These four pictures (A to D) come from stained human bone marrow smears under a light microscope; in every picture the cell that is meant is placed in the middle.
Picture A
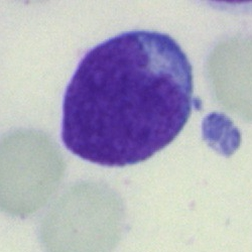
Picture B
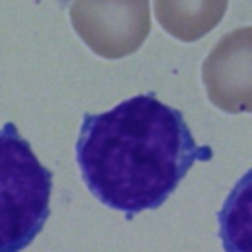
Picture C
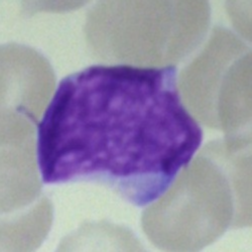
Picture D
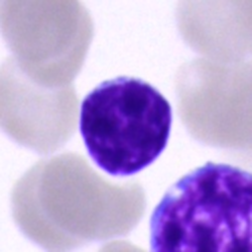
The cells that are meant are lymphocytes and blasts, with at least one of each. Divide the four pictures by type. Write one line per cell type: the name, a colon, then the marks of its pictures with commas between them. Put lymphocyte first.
lymphocyte: B, D
blast: A, C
